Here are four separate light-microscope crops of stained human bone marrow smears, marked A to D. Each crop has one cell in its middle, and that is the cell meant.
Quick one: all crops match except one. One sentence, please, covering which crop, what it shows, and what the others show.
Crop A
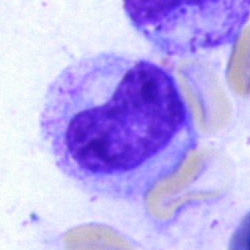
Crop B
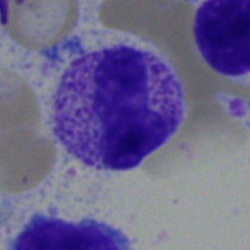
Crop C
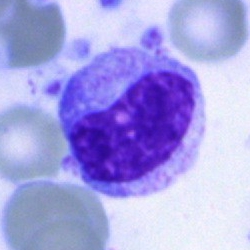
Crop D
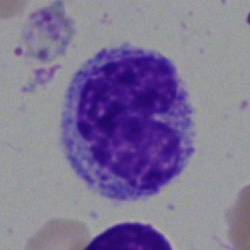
All the crops show metamyelocytes, barring crop D, which is a monocyte.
